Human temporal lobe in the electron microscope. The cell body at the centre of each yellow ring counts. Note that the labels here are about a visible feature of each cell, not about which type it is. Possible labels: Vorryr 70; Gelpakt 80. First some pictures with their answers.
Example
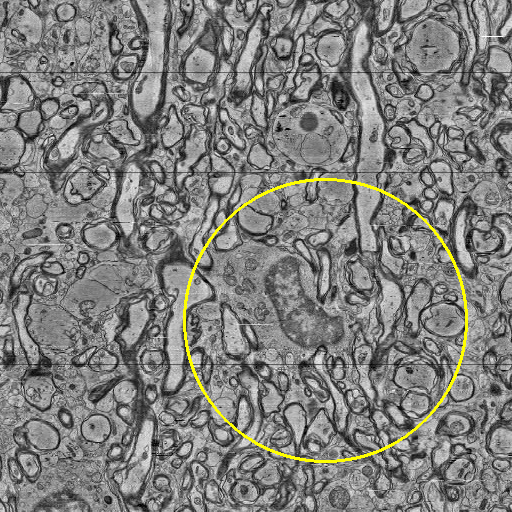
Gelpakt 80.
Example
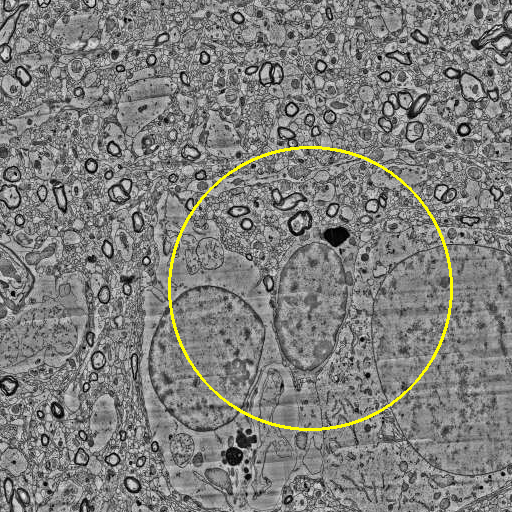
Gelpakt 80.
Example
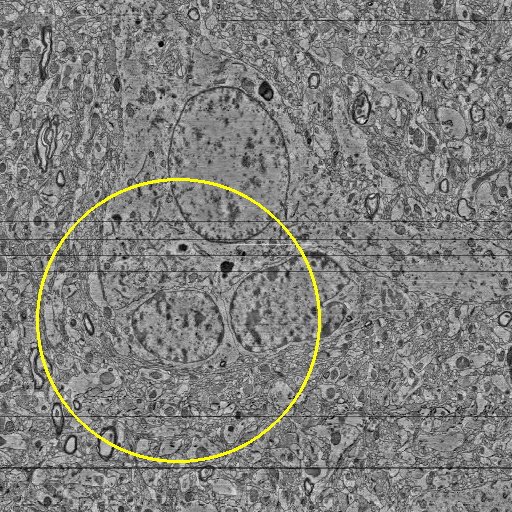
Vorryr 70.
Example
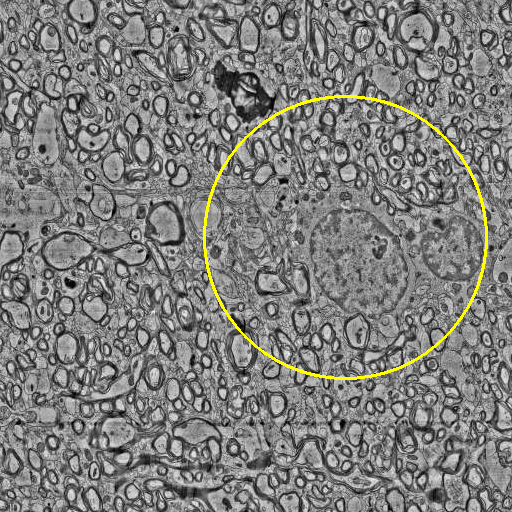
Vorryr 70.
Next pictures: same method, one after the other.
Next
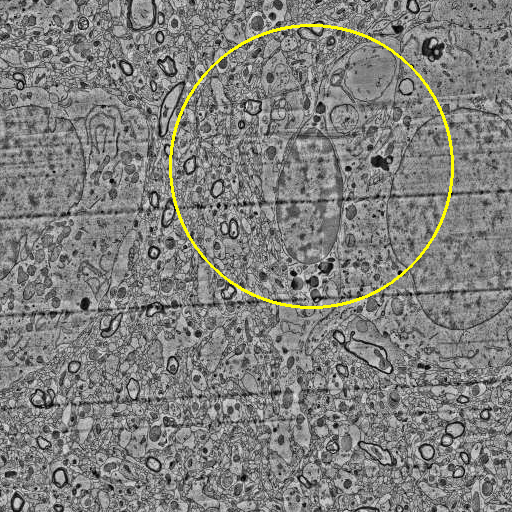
Gelpakt 80.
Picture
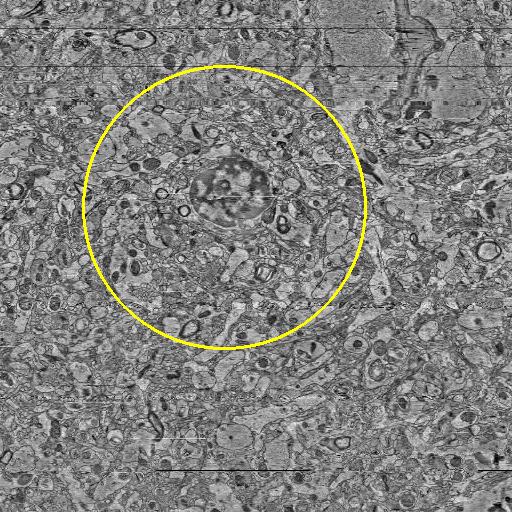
Vorryr 70.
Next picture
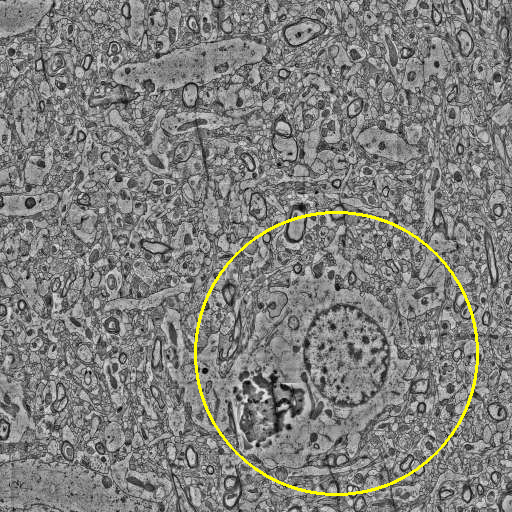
Vorryr 70.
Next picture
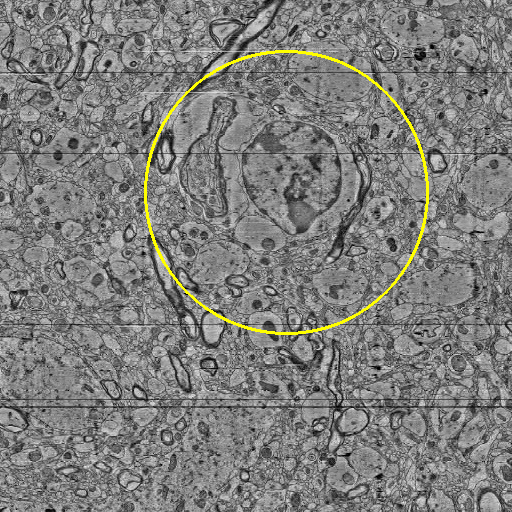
Vorryr 70.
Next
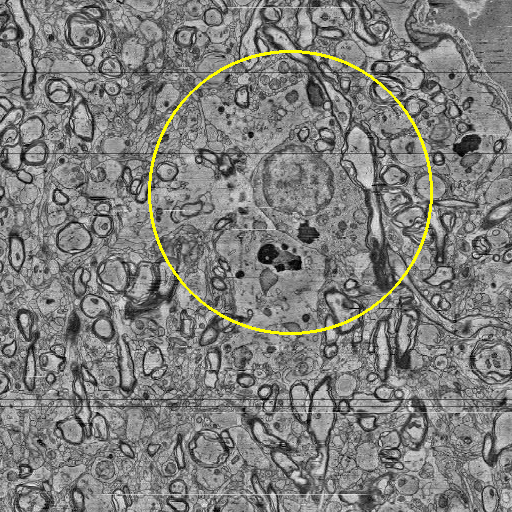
Vorryr 70.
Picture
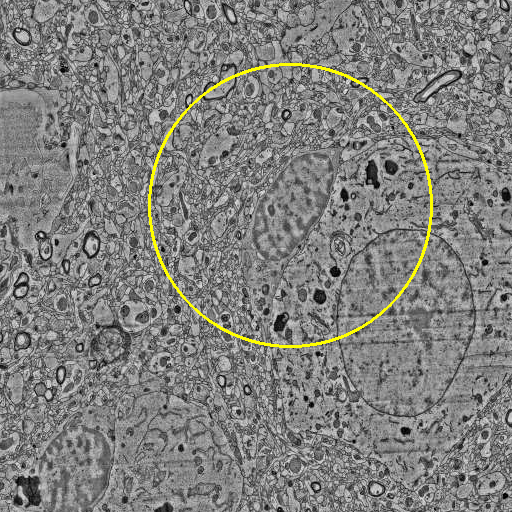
Gelpakt 80.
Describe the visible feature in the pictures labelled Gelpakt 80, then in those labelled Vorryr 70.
In Gelpakt 80: clearly elongated nuclei. In Vorryr 70: round or nearly round nuclei.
